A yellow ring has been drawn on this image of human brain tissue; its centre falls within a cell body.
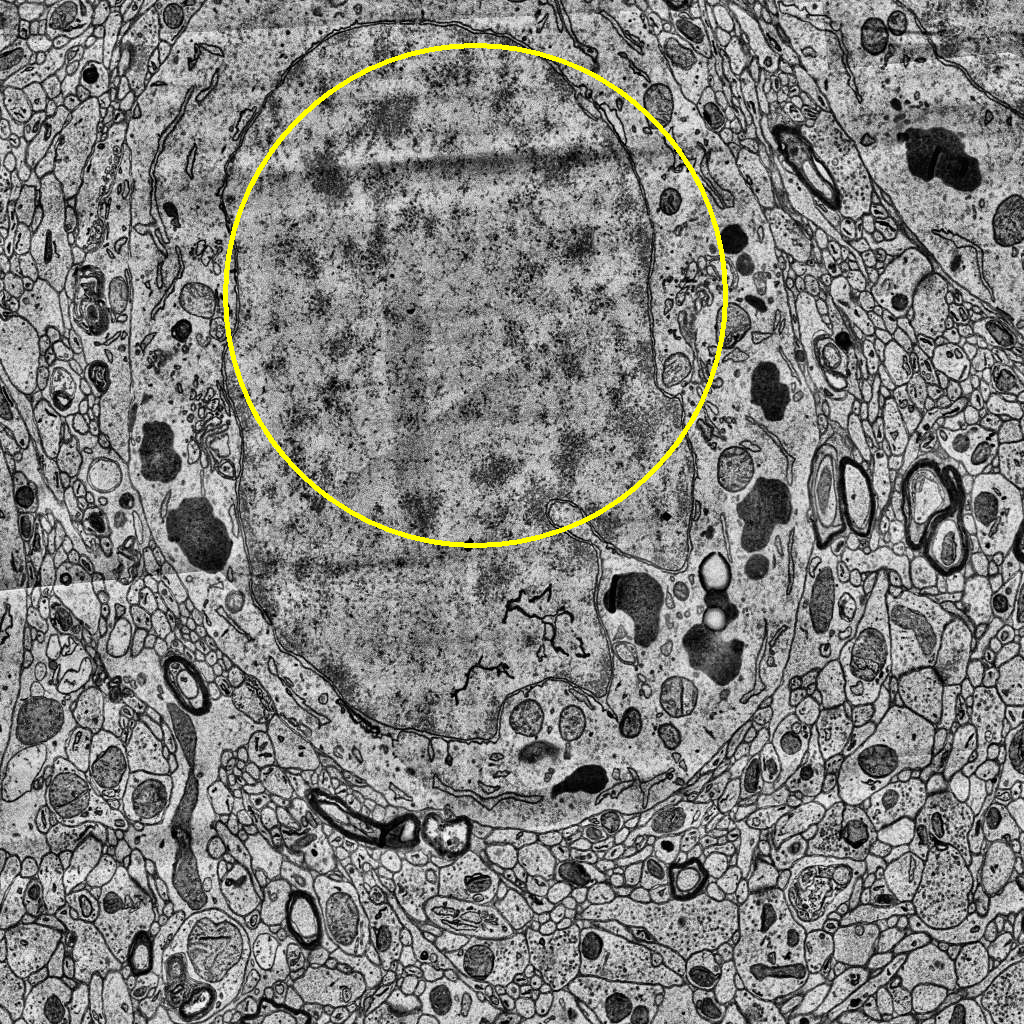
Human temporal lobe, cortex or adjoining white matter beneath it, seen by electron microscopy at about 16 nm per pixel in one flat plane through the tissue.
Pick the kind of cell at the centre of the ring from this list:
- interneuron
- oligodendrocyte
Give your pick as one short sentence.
The centre of the ring holds an interneuron.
